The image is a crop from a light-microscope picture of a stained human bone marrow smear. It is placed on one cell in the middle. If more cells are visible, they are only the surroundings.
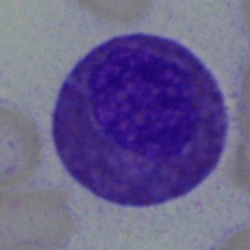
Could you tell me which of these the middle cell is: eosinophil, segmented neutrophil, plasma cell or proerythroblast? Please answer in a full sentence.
The central cell, amid any neighbouring cells, is an eosinophil.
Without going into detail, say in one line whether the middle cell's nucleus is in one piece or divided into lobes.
Have a look at the nucleus, which is one compact mass, round, oval or kidney-shaped.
